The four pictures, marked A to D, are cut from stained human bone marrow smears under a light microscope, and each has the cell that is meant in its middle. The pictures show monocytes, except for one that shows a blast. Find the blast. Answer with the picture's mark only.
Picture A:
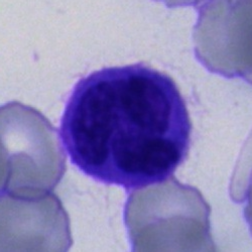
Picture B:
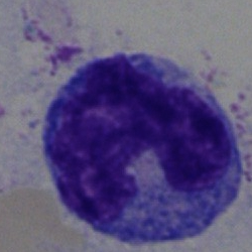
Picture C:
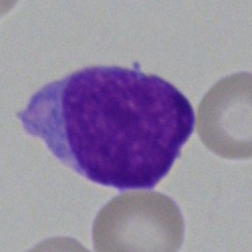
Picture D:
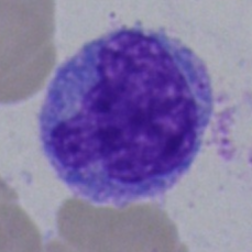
C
